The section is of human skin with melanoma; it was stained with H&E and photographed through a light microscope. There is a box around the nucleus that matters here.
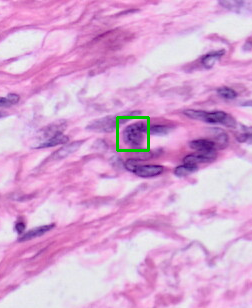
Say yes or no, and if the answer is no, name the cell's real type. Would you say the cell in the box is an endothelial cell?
Yes.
